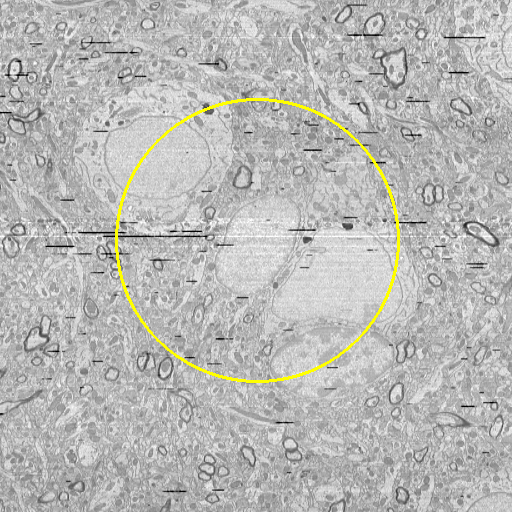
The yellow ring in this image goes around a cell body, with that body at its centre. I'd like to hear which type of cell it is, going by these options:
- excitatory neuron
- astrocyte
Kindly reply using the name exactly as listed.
astrocyte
